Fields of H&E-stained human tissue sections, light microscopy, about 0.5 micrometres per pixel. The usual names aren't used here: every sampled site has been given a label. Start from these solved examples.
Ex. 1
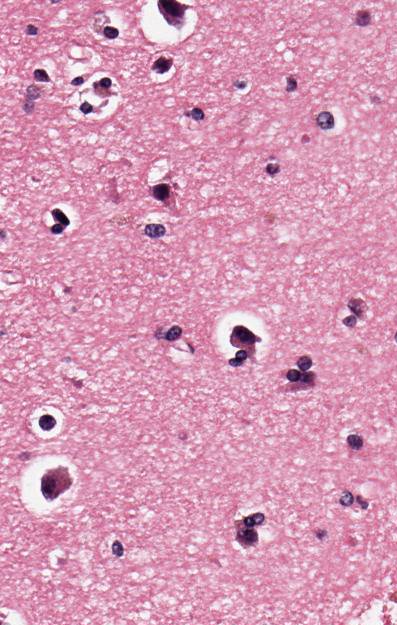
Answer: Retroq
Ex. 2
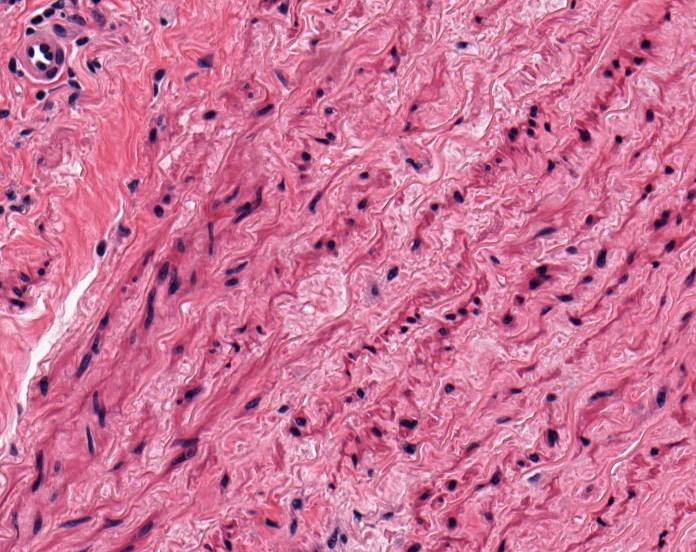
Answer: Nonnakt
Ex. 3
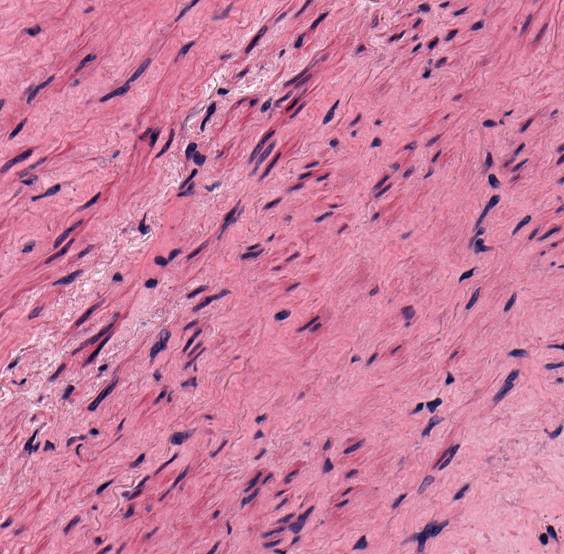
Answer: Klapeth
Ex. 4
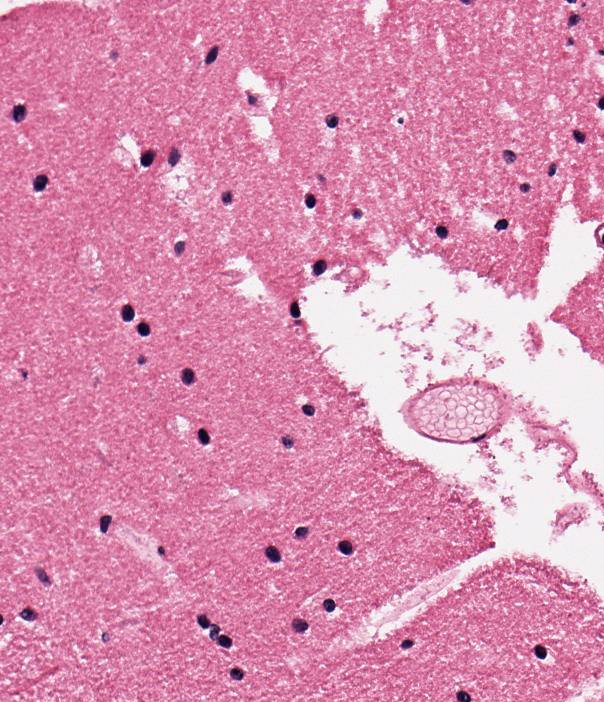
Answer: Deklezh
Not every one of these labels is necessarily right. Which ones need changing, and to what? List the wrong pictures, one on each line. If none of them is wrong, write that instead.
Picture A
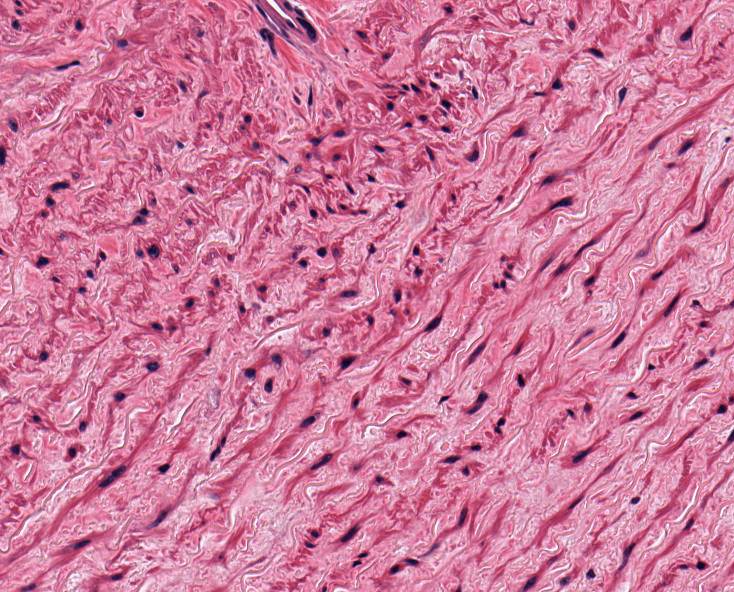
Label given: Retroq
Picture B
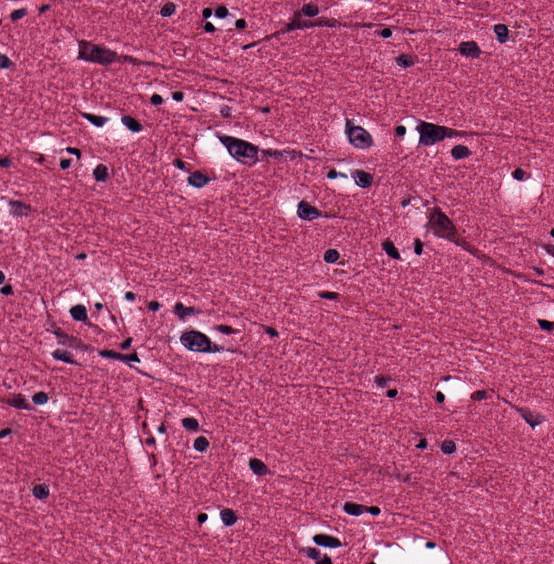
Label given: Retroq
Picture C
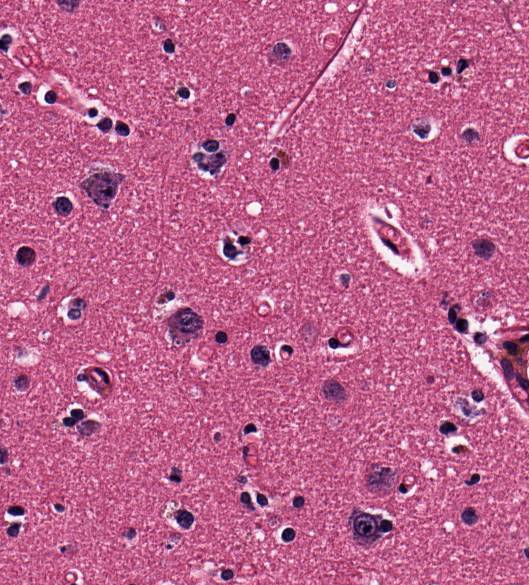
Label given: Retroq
A: change Retroq to Nonnakt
